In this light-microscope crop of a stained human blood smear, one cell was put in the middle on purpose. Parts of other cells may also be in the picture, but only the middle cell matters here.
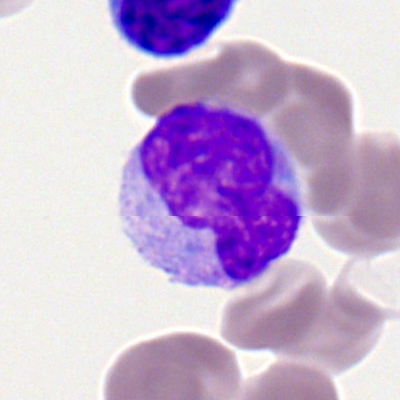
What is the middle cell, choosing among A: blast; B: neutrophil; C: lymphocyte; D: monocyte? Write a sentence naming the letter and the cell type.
The cell in the middle is a monocyte, so option D is correct.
